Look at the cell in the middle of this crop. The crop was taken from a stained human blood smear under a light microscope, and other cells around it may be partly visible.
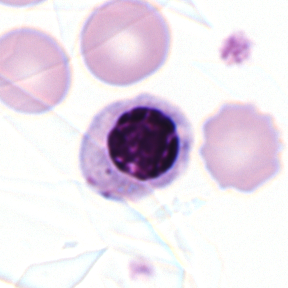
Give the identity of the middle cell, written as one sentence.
The cell shown in the center of this light-microscope crop is an erythroblast.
